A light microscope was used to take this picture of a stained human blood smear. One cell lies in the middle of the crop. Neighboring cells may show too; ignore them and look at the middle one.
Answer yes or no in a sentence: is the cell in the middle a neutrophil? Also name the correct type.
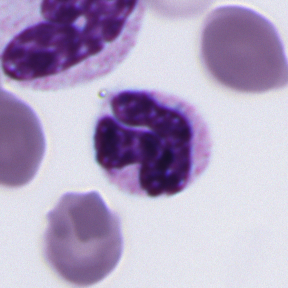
Yes, the cell in the middle of this smear crop is a neutrophil.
